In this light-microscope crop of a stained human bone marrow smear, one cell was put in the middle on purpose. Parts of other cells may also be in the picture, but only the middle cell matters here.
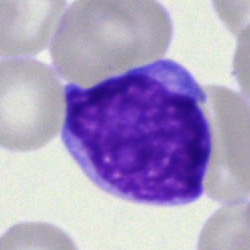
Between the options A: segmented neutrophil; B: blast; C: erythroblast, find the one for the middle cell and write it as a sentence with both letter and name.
Option B is correct here, and the cell in the middle is a blast.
